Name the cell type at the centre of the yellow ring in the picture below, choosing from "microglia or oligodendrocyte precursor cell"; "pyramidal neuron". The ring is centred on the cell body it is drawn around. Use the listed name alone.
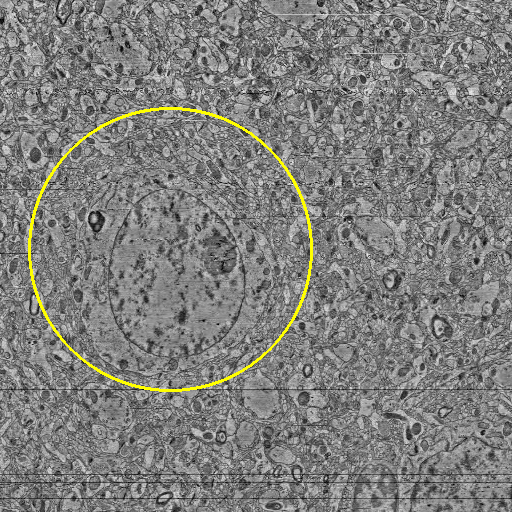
pyramidal neuron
